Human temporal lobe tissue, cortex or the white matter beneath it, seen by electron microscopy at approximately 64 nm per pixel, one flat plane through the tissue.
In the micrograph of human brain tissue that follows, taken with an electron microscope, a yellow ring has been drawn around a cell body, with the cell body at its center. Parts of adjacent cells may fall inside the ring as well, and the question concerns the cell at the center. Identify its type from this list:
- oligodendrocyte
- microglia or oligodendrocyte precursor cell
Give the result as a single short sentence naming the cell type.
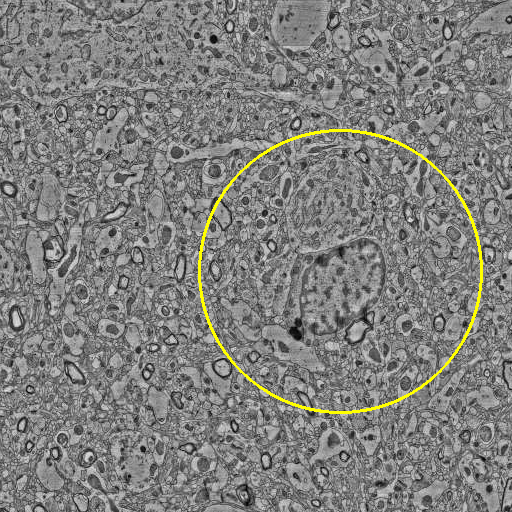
The ring is centered on an oligodendrocyte.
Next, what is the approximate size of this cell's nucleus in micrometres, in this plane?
The nucleus of the ringed cell is approximately 7 by 5 micrometres in this plane.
